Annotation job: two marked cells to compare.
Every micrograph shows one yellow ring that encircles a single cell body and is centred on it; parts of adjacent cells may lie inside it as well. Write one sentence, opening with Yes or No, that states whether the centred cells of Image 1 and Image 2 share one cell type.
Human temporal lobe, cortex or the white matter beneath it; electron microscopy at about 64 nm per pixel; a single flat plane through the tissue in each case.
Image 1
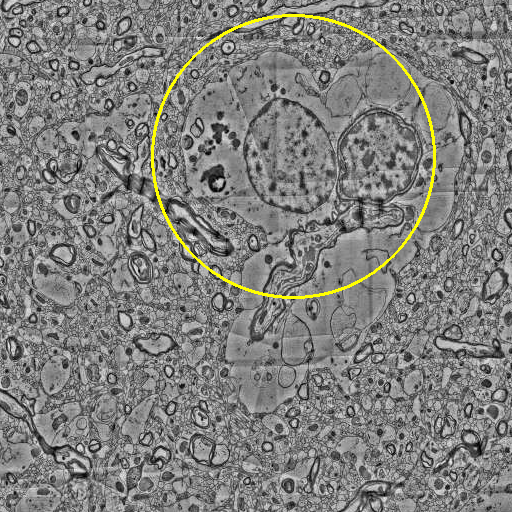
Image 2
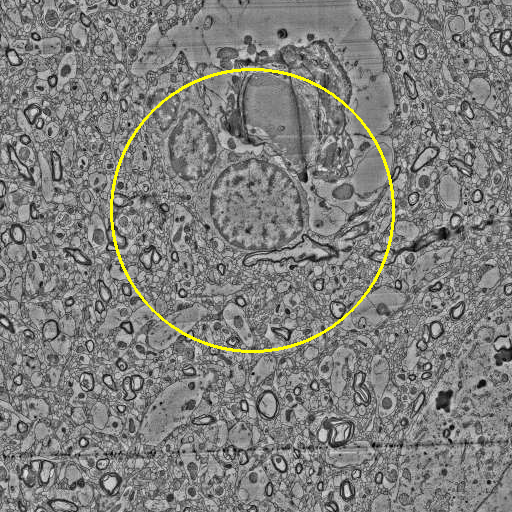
No, the cell centred in Image 1 and the cell centred in Image 2 are of two types.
